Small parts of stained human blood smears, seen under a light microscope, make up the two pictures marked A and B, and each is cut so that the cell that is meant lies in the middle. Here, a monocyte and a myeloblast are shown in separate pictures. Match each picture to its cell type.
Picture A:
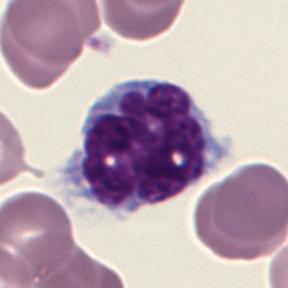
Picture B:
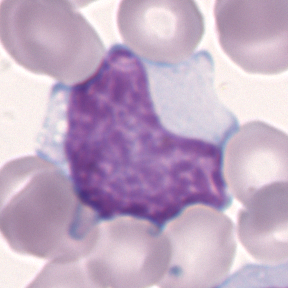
A: monocyte
B: myeloblast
